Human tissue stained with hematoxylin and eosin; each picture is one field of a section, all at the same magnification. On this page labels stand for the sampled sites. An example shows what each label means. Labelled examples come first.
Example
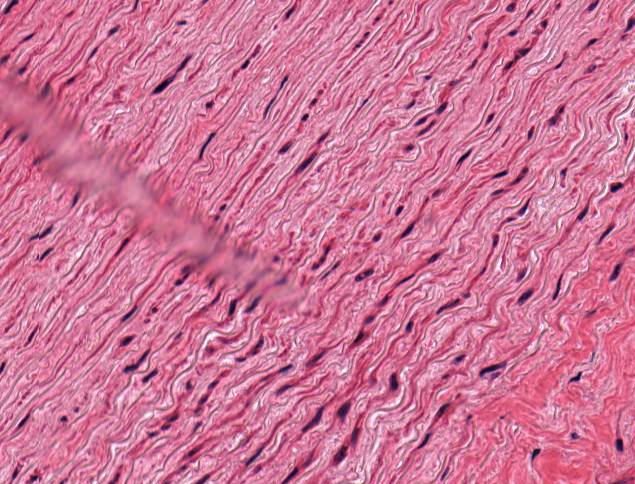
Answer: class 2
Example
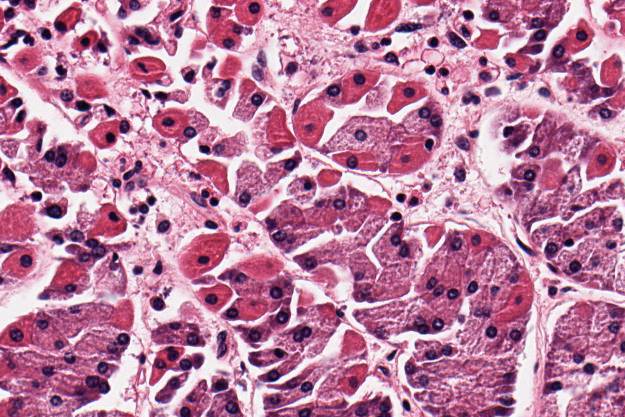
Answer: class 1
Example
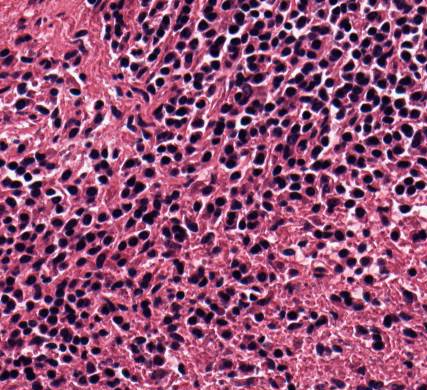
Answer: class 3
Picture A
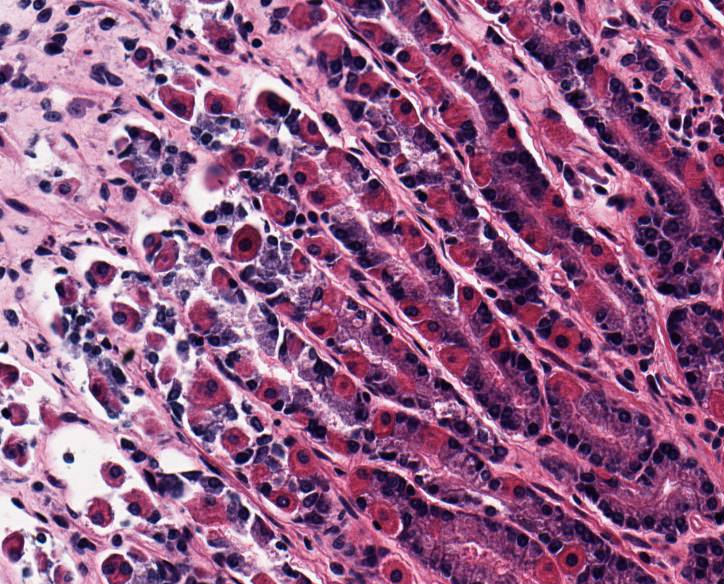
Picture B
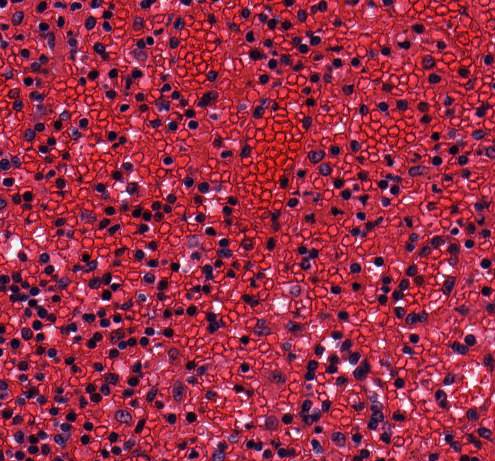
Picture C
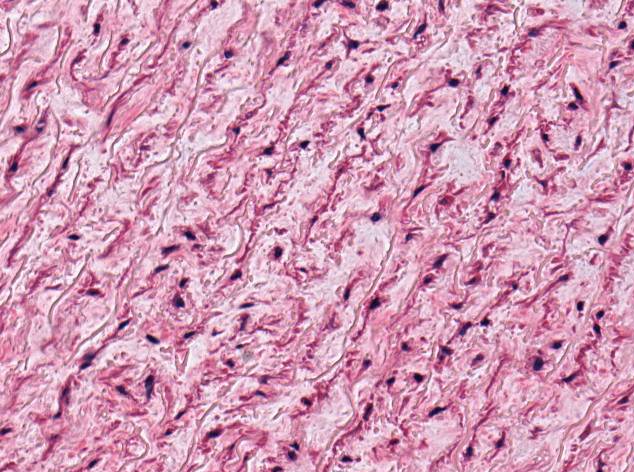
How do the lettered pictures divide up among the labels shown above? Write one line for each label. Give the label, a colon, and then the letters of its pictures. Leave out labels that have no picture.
class 2: C
class 1: A
class 3: B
